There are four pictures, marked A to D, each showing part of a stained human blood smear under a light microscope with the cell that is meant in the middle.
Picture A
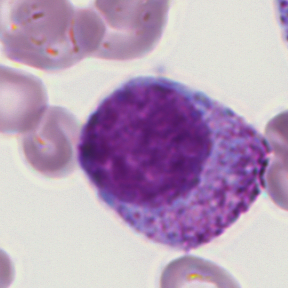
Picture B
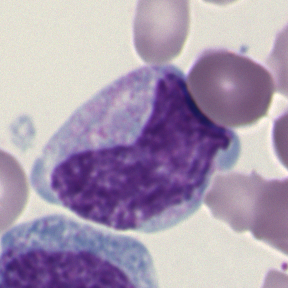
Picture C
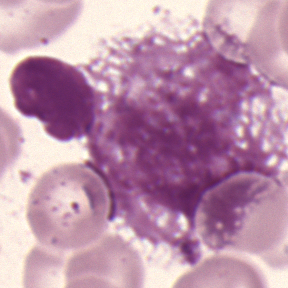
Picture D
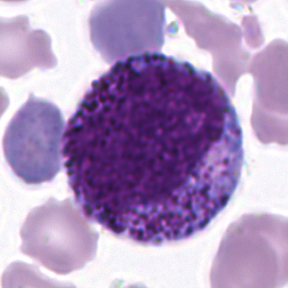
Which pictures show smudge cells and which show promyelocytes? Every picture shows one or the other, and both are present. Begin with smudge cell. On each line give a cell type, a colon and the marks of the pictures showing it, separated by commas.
smudge cell: C
promyelocyte: A, B, D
